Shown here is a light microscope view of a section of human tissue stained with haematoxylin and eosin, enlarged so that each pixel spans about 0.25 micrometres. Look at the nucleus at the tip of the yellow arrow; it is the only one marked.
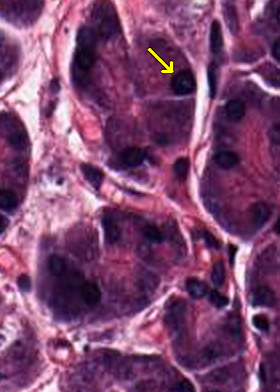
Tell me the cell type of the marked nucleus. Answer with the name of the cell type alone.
pancreatic acinar cell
